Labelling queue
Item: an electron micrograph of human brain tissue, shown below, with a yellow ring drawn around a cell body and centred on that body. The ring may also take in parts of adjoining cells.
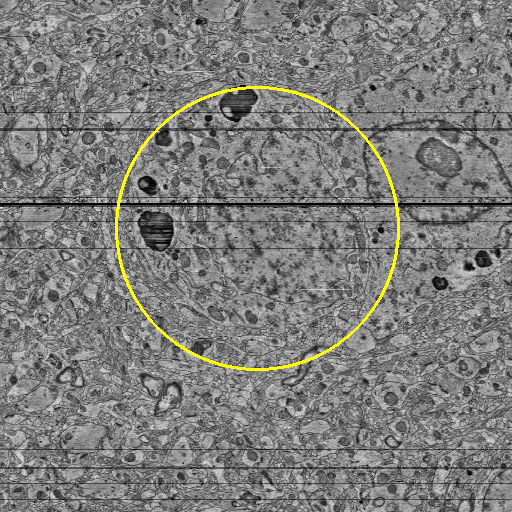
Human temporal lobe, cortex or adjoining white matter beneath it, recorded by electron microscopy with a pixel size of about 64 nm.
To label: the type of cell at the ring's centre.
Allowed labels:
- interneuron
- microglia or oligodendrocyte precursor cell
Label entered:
interneuron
